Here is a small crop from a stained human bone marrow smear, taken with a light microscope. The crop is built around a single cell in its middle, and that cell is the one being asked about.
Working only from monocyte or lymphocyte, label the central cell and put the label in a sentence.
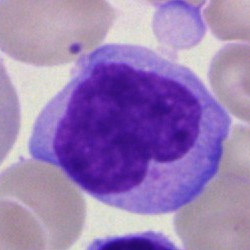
The central cell in this smear crop is a monocyte.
